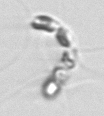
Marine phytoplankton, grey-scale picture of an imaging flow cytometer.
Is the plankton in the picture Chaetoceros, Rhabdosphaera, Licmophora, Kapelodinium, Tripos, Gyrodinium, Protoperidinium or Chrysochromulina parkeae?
It is Chaetoceros.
